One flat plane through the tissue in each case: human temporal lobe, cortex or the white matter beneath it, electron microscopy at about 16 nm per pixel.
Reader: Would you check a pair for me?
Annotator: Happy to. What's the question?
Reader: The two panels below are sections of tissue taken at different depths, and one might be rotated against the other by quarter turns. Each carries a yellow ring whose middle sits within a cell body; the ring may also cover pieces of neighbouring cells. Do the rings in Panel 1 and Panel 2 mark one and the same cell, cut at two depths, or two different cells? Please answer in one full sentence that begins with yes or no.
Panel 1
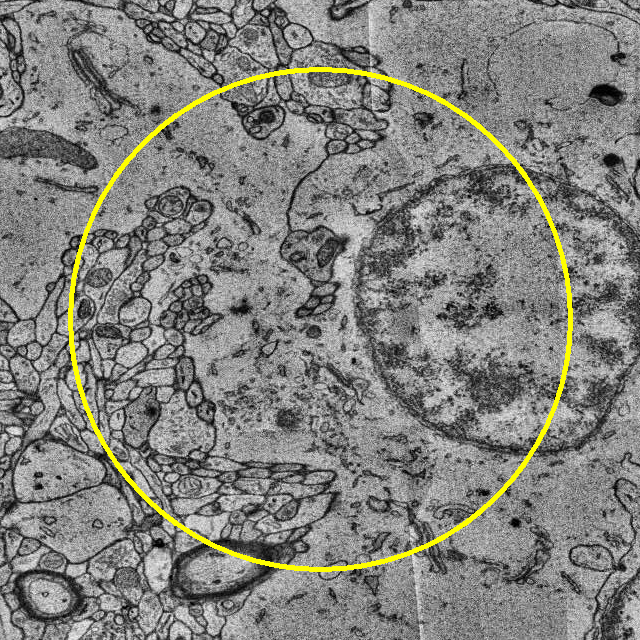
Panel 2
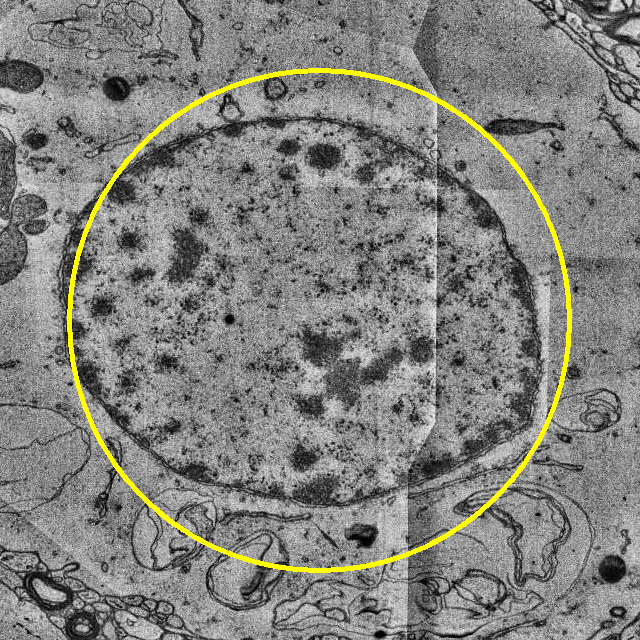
No, two cells, not one, are marked by the yellow rings.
